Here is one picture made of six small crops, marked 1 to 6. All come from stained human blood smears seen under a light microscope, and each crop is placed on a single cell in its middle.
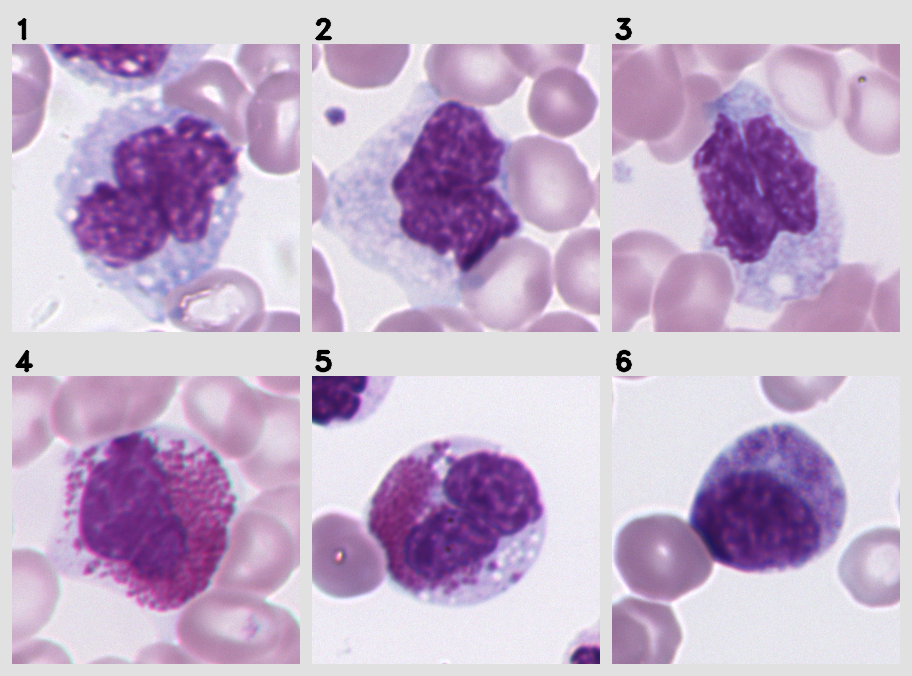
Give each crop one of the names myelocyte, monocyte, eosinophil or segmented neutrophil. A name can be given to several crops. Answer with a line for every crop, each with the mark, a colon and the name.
1: monocyte
2: monocyte
3: monocyte
4: eosinophil
5: eosinophil
6: myelocyte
